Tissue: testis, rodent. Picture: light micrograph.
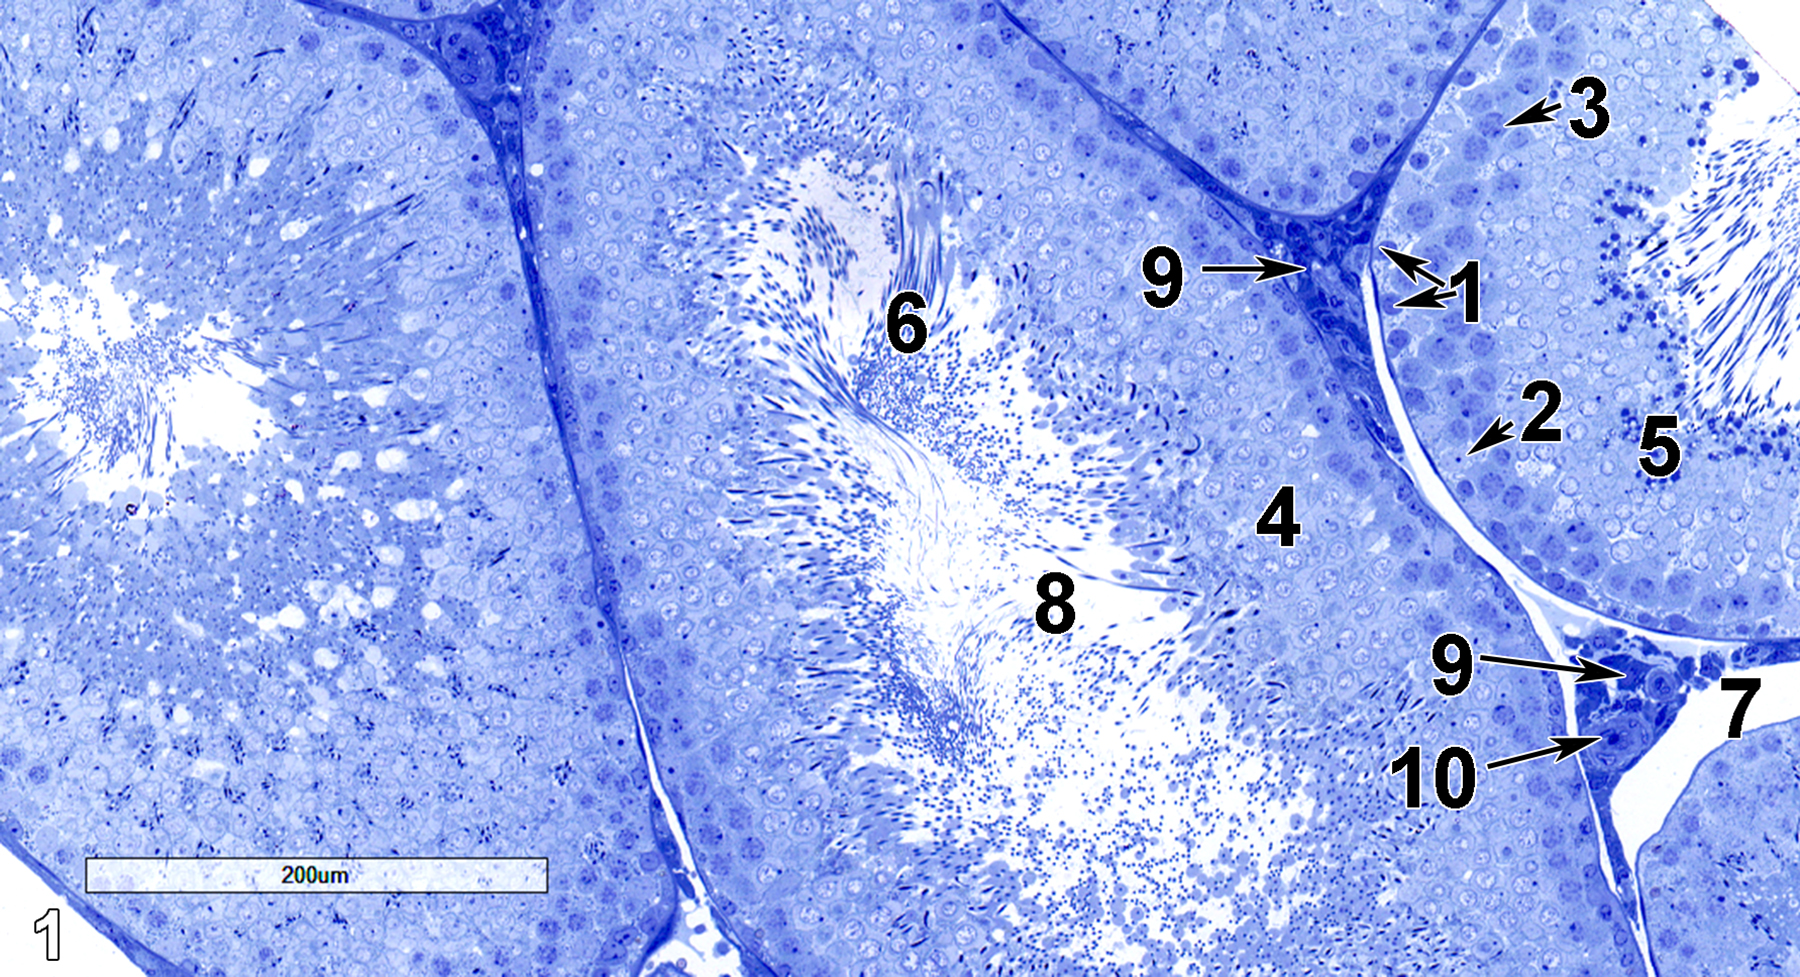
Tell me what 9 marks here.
At 9: Leydig cells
